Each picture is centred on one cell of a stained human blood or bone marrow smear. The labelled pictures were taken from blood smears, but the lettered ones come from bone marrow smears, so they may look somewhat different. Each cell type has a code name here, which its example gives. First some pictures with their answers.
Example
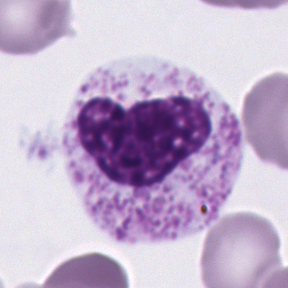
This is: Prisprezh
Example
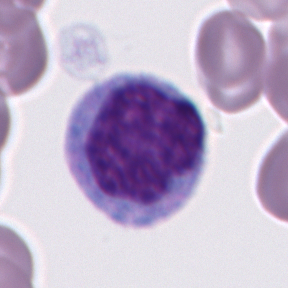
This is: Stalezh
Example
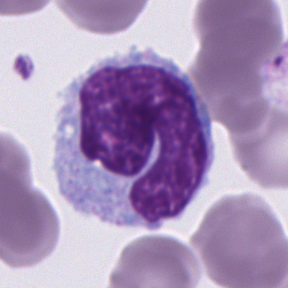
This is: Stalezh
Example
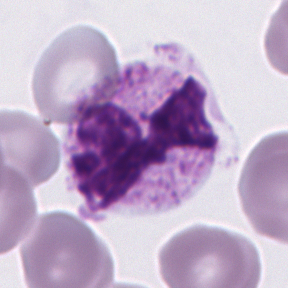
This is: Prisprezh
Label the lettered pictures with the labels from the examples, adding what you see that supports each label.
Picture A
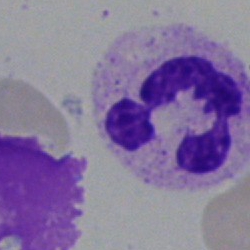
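Prisprezh. The cytoplasm is plentiful and pale pinkish-lilac.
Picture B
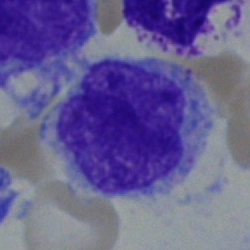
Stalezh. The nucleus fills most of the cell.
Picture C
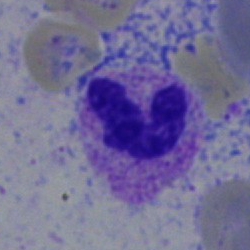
Prisprezh. Fine pink-purple granules fill the cytoplasm.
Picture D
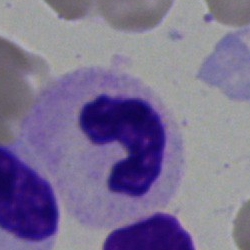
Prisprezh. Fine lilac granules are scattered through the cytoplasm.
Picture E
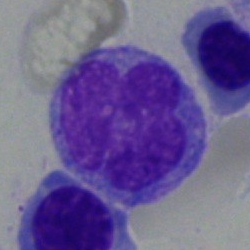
Stalezh. The nucleus fills most of the cell.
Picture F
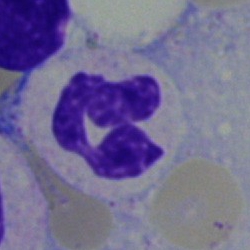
Prisprezh. A wide rim of pale lilac-grey cytoplasm surrounds the nucleus.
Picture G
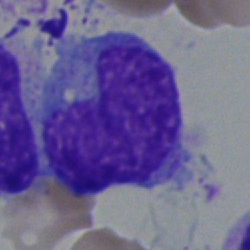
Stalezh. The nucleus fills most of the cell, with the cytoplasm lying mainly on the upper left.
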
